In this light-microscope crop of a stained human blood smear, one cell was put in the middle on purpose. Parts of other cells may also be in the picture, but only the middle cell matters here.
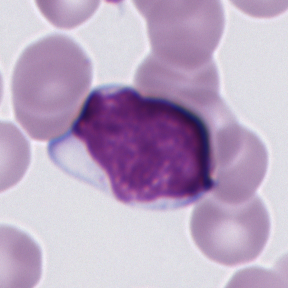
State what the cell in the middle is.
large granular lymphocyte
